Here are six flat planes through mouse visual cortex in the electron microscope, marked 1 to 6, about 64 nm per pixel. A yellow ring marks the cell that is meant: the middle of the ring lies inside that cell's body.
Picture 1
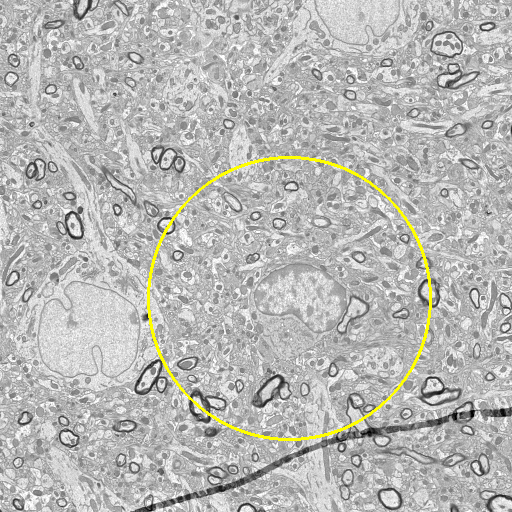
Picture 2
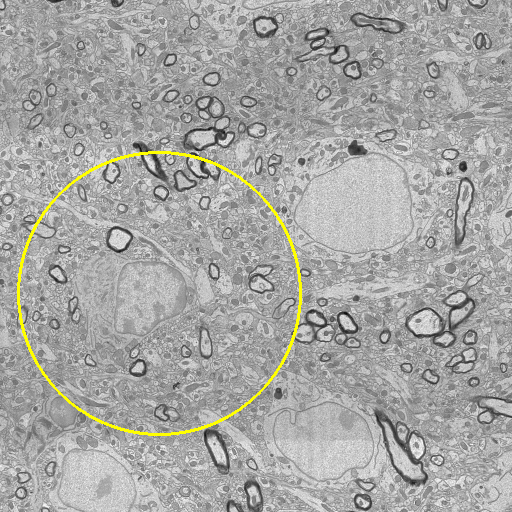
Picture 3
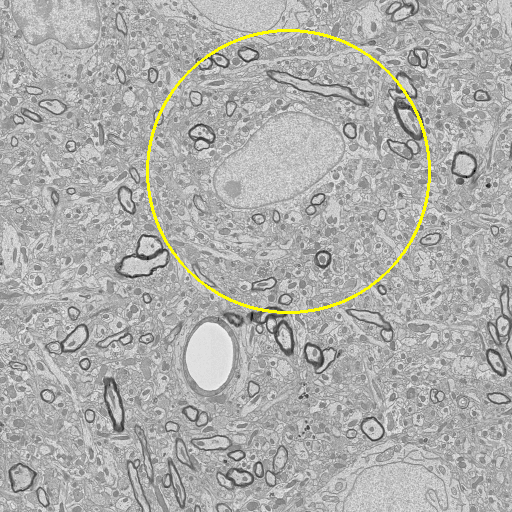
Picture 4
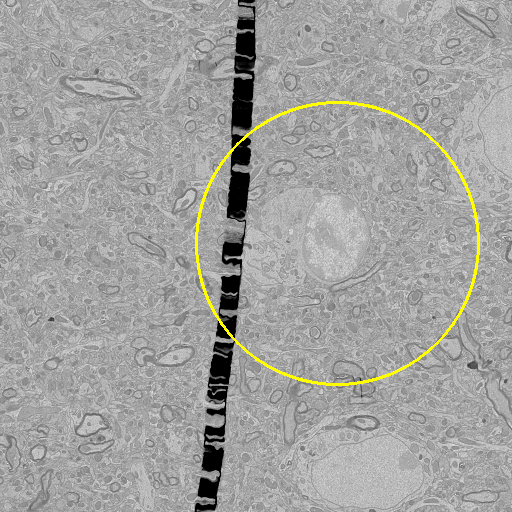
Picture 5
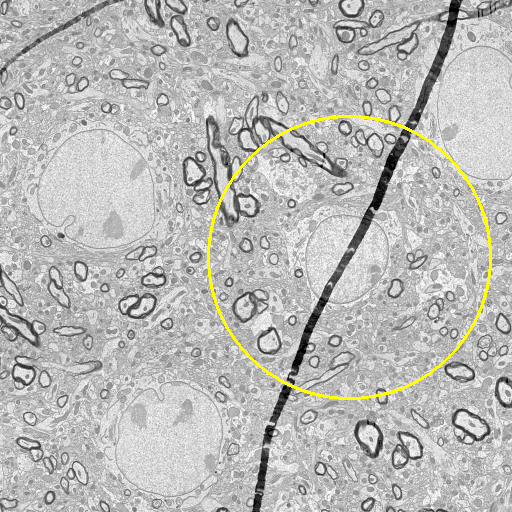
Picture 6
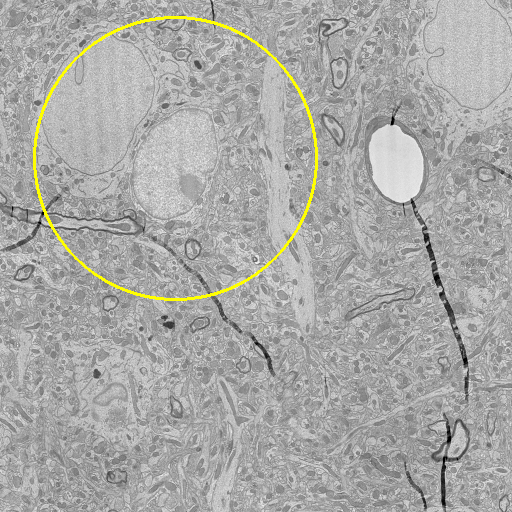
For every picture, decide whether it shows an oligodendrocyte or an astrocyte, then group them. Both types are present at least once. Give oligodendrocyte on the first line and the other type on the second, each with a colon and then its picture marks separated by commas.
oligodendrocyte: 1, 2, 4
astrocyte: 3, 5, 6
